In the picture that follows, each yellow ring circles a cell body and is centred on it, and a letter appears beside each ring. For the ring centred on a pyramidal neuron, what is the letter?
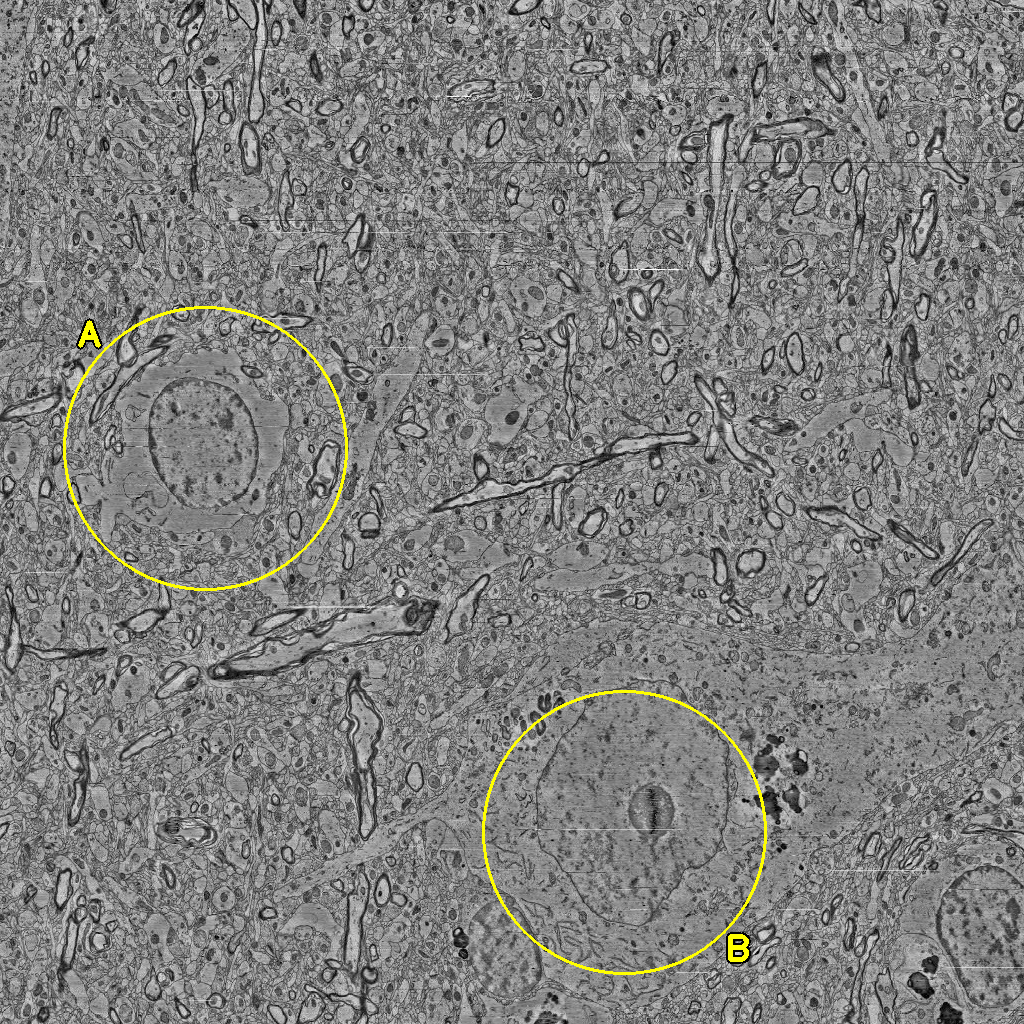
B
